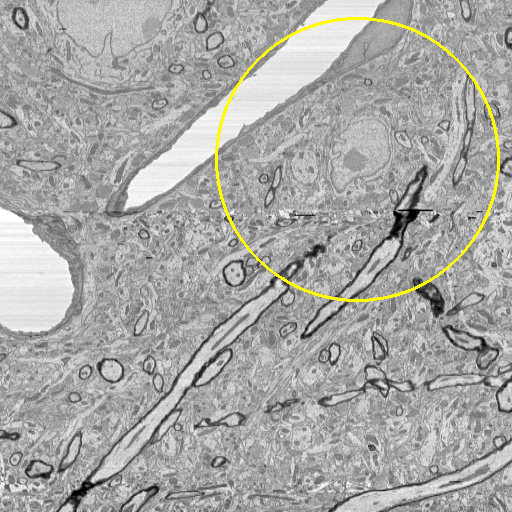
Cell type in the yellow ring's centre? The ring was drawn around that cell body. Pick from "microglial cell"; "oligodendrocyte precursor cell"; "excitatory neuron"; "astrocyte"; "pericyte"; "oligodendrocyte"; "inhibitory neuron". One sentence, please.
The ringed cell body is that of an oligodendrocyte precursor cell.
